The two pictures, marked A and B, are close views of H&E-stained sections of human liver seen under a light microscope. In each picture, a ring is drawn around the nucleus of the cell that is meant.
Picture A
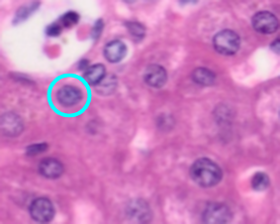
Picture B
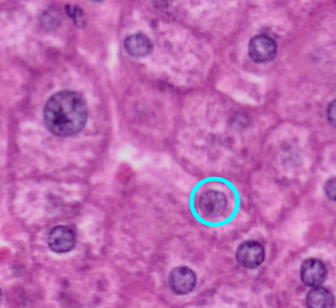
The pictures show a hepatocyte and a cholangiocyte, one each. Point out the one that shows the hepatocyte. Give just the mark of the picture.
B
